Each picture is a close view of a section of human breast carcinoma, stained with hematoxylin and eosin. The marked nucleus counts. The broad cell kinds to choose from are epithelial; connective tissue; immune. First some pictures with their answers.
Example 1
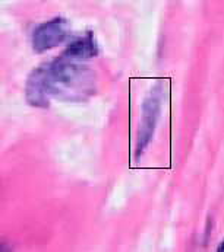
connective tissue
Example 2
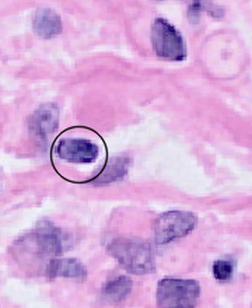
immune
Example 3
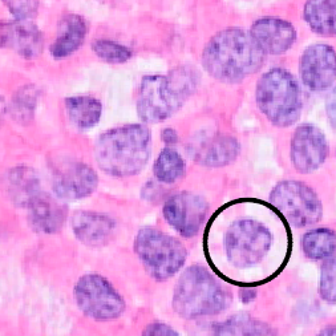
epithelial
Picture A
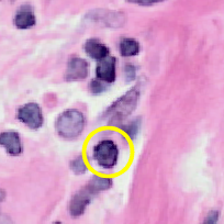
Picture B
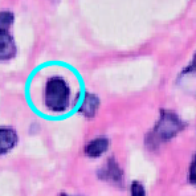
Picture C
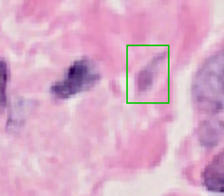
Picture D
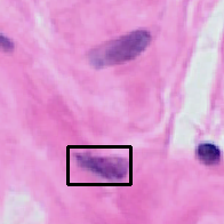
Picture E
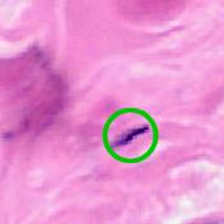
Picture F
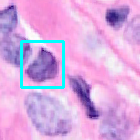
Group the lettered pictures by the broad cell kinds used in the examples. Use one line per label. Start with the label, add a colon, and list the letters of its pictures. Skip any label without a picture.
epithelial: F
connective tissue: C, D, E
immune: A, B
